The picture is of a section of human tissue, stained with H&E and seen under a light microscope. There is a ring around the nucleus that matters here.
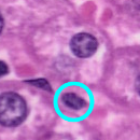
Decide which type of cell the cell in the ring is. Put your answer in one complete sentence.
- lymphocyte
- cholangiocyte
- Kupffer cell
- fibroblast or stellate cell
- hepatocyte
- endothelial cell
Among the cells in this section, the cell in the ring is a lymphocyte.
